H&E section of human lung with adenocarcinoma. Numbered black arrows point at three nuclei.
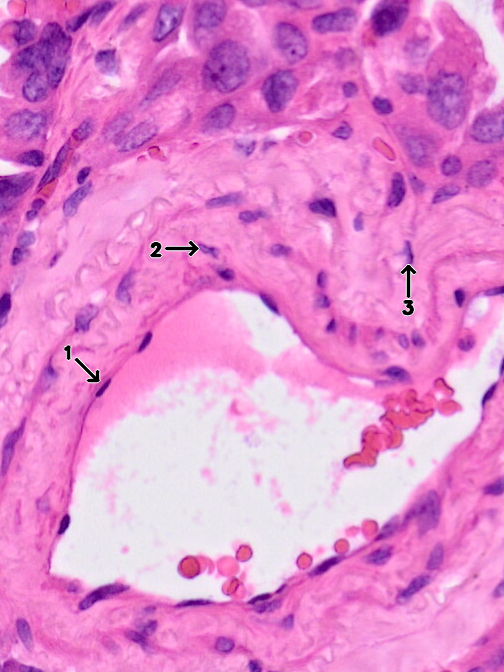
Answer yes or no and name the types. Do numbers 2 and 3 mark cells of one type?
No, cell 3 is a fibroblast, and cell 2 is a smooth muscle cell or pericyte.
